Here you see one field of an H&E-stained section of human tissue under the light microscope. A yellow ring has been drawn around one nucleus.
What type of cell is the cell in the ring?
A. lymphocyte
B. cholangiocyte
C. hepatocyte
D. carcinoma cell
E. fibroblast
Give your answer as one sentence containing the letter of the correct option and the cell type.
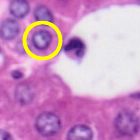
Option B names it right: the cell in the ring is a cholangiocyte.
